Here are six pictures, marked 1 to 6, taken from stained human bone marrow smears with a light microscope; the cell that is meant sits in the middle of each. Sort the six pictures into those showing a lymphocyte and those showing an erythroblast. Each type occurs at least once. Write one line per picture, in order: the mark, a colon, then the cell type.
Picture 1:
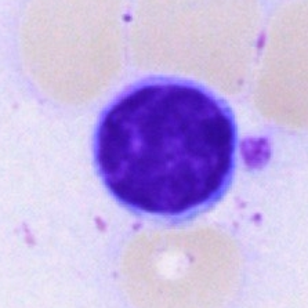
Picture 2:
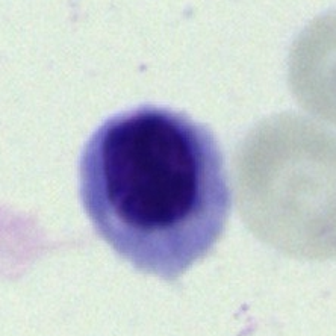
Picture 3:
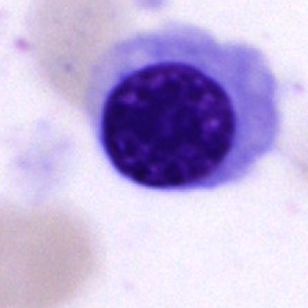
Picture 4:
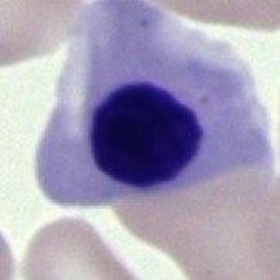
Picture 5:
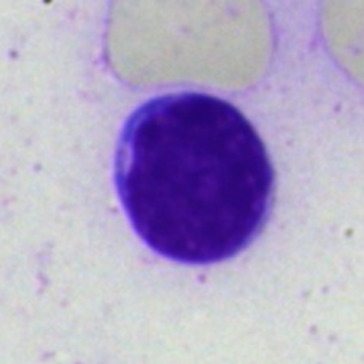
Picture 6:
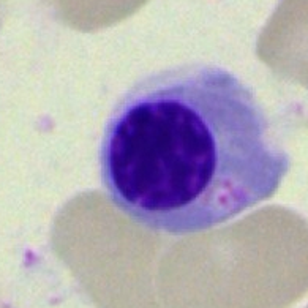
1: lymphocyte
2: erythroblast
3: erythroblast
4: erythroblast
5: lymphocyte
6: erythroblast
